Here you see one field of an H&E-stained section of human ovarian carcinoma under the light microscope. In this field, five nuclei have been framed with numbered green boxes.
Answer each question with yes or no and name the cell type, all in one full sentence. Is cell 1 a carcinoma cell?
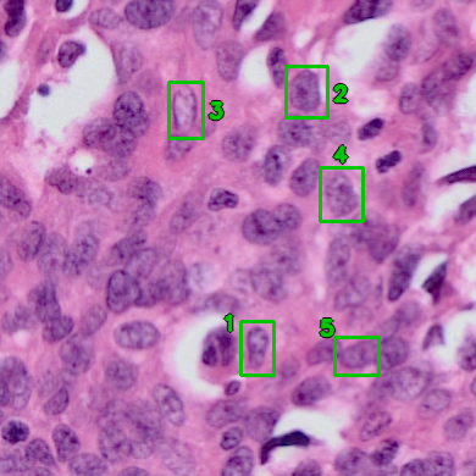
No, at number 1 sits a macrophage or monocyte, not a carcinoma cell.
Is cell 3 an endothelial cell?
Yes, it is an endothelial cell that carries the number 3.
